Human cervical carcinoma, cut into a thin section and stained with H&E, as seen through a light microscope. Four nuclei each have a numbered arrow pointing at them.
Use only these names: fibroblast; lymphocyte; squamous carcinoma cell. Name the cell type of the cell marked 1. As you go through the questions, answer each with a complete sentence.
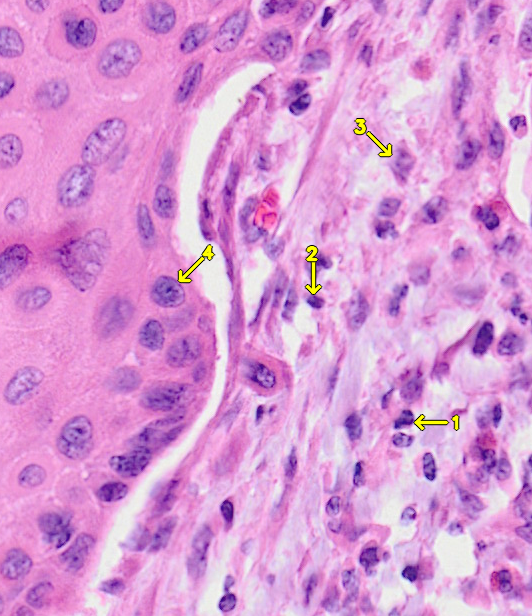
Cell 1 in the field of view is a lymphocyte.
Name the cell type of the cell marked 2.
The cell referenced by the number 2 is a lymphocyte in this field.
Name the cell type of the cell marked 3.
The nucleus labeled 3 belongs to a fibroblast.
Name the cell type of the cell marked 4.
Of the numbered cells, the one labelled 4 is a squamous carcinoma cell.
